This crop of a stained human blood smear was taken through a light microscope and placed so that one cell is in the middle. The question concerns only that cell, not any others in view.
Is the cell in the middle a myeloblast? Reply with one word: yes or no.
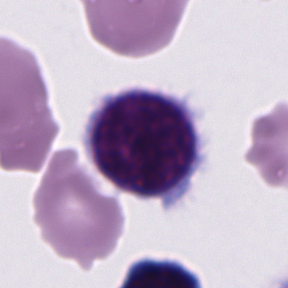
no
